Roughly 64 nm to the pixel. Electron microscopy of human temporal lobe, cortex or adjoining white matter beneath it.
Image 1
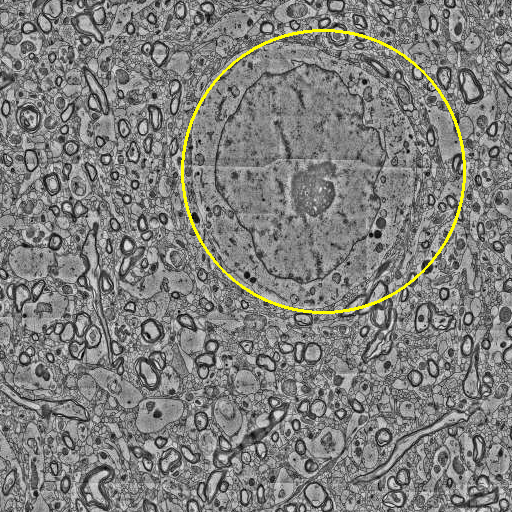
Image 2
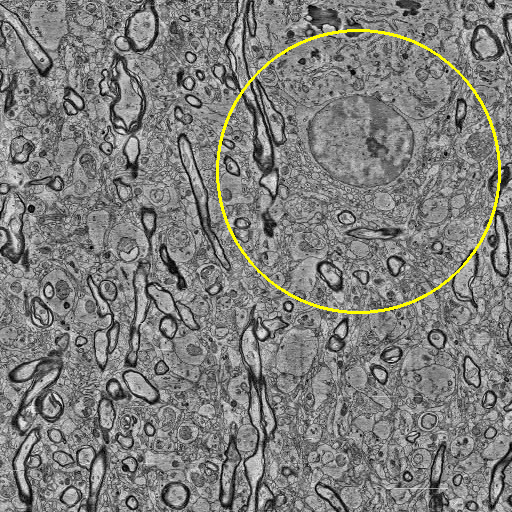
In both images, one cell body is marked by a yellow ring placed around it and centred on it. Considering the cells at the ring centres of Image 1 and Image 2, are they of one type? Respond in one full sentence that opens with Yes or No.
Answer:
No, two types apply to the ring-centred cells of Image 1 and Image 2.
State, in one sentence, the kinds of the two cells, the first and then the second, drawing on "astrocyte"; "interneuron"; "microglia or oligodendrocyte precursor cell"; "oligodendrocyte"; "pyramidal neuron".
The ring in the second picture is centred on an oligodendrocyte, the ring in the first on a pyramidal neuron.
